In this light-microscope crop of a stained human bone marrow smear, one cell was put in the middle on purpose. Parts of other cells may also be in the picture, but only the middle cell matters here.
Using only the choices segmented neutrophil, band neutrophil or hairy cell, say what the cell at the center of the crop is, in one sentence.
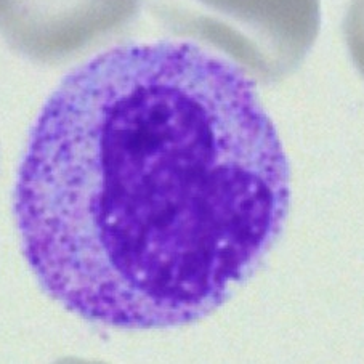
This crop has a band neutrophil at its centre.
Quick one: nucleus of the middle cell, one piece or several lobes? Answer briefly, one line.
A single compact nucleus is present, shaped round, oval or like a kidney.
